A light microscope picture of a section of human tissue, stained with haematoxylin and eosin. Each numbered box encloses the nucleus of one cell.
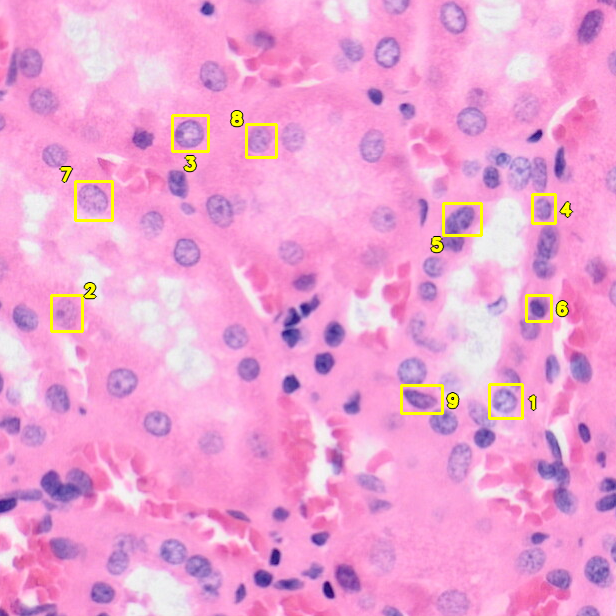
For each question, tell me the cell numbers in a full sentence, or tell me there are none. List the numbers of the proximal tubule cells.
The cells referred to by the numbers 2, 3, 7 and 8 are proximal tubule cells.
